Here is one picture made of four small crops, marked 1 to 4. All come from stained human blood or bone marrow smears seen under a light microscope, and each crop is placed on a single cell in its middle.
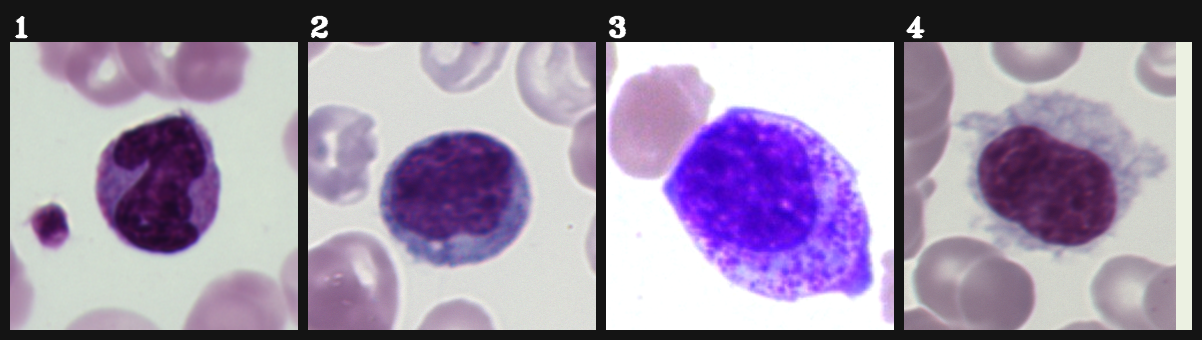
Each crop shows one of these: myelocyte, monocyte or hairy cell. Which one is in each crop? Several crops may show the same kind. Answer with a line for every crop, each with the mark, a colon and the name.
1: monocyte
2: monocyte
3: myelocyte
4: hairy cell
